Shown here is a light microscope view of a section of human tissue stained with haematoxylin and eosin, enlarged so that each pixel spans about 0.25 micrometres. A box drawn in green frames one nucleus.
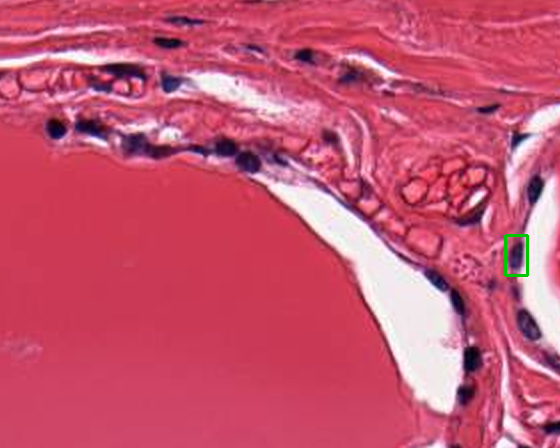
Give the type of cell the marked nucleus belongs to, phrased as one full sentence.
Located in a thyroid follicular cell is the marked nucleus.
